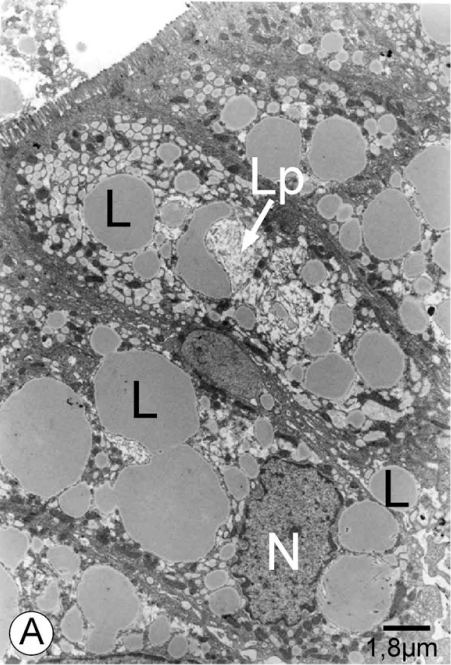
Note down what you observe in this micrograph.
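This electron micrograph shows intestinal absorptive epithelial cells, the enterocytes, with a dense brush border of microvilli along their apical surface at the top. Their cytoplasm is crowded with many large, round, homogeneous grey lipid droplets of very different sizes, lying free in the cytoplasm. Between these droplets are groups of much smaller pale particles, some gathered in membrane-enclosed areas. An oval nucleus with finely granular chromatin lies in the lower part of one cell, and an elongated darker nucleus lies above it. The cells are closely apposed along thin lateral borders.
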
